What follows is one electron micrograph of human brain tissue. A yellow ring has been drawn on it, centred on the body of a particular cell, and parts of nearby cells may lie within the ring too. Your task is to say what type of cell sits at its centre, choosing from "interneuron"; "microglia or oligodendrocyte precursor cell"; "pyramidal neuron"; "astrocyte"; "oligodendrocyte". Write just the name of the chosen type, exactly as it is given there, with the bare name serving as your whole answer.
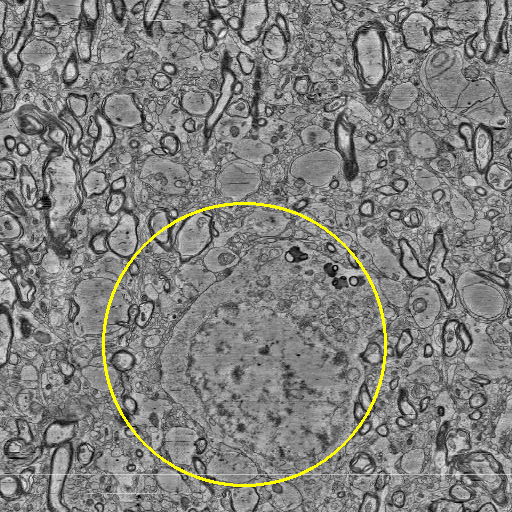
interneuron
